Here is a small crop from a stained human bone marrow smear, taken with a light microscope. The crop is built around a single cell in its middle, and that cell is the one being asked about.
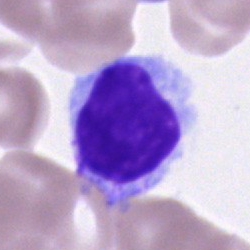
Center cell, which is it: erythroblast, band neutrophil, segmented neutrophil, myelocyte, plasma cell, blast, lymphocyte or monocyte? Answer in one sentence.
To answer, the cell in the center of the crop is a lymphocyte.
